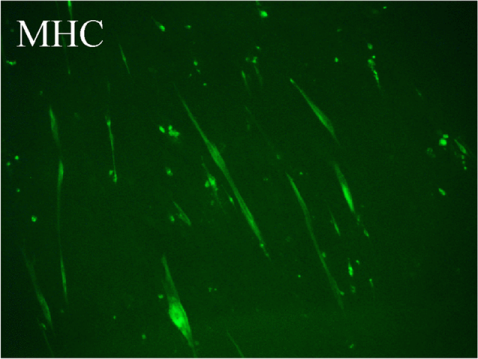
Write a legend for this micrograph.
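This is a culture of differentiating muscle cells in which a subset has formed myotubes, standing out green against a dark background. They are long, spindle-shaped cells, some thick in their middle and tapering to fine ends, lying roughly parallel. Between them are a few small, bright, rounded bodies.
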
